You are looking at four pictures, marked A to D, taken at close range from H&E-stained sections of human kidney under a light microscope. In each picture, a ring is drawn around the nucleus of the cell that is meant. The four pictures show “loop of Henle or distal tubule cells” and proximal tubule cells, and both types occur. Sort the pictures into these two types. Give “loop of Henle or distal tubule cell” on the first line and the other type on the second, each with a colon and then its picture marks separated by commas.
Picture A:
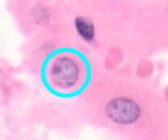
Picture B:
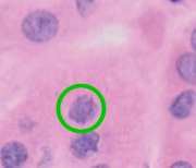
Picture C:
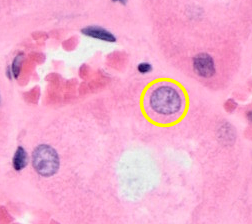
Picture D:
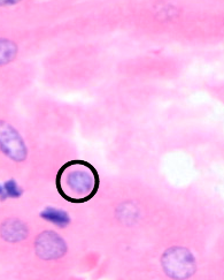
loop of Henle or distal tubule cell: B
proximal tubule cell: A, C, D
